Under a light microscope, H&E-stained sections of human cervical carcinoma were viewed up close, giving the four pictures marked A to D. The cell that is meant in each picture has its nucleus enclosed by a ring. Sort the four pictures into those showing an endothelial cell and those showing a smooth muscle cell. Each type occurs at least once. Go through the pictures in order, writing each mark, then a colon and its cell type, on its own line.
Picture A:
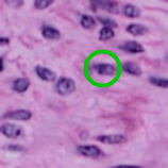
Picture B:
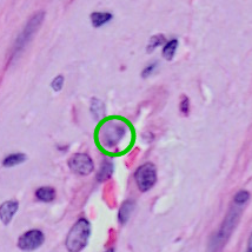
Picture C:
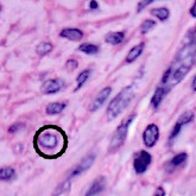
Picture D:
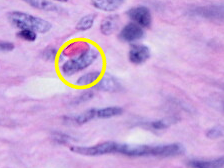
A: smooth muscle cell
B: endothelial cell
C: smooth muscle cell
D: endothelial cell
